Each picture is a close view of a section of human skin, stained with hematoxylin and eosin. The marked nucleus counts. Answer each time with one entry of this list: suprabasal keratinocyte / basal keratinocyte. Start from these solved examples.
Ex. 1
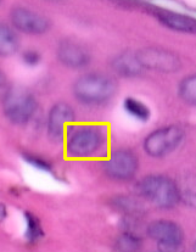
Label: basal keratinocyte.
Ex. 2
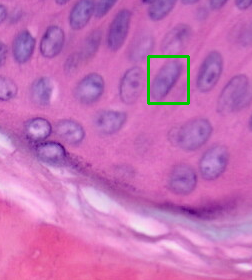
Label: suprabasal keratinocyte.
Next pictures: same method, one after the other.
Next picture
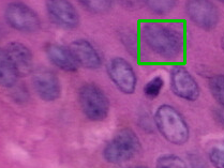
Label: suprabasal keratinocyte.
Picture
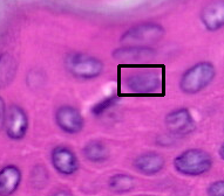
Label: suprabasal keratinocyte.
